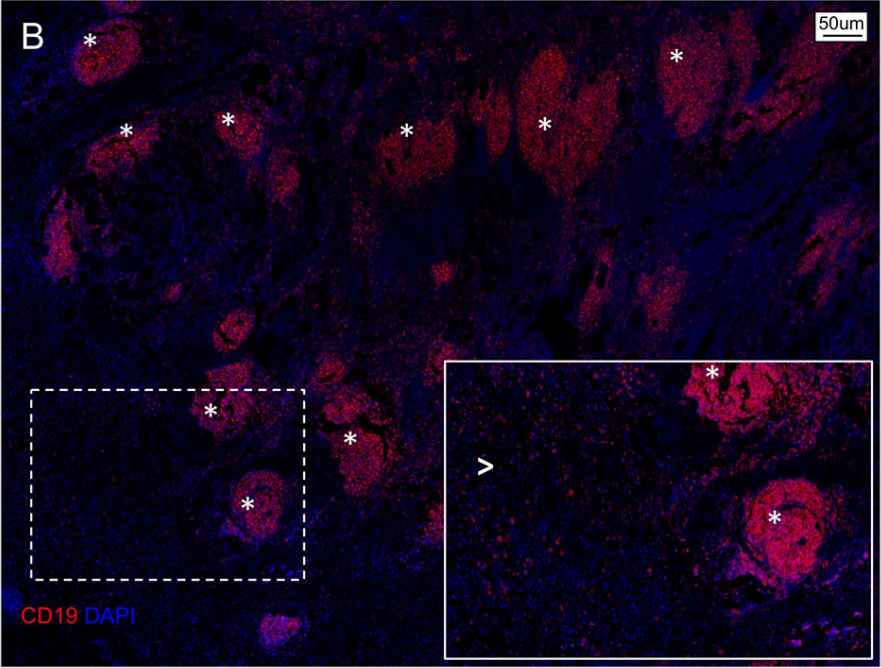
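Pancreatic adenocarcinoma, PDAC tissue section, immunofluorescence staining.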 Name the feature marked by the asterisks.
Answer: Lymphoid structures.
